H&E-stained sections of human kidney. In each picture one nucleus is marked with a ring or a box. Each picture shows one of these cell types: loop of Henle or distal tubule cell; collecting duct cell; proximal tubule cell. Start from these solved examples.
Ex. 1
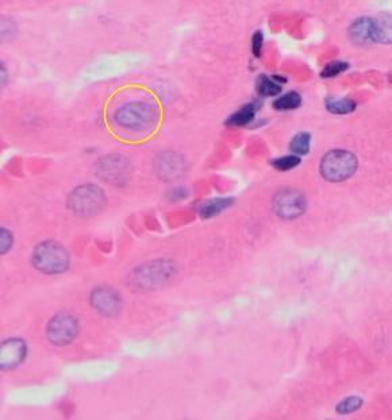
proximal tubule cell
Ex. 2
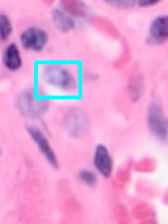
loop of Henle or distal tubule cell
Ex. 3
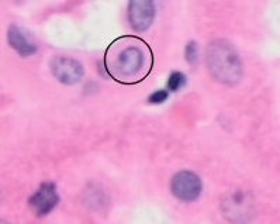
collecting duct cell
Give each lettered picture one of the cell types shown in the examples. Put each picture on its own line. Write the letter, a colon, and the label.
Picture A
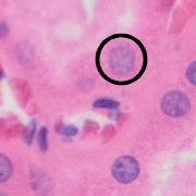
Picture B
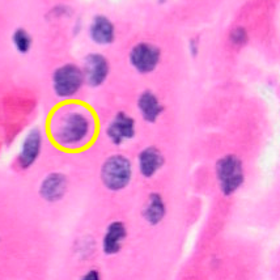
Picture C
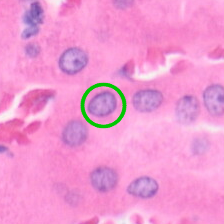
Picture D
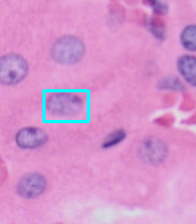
A: proximal tubule cell
B: loop of Henle or distal tubule cell
C: proximal tubule cell
D: proximal tubule cell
